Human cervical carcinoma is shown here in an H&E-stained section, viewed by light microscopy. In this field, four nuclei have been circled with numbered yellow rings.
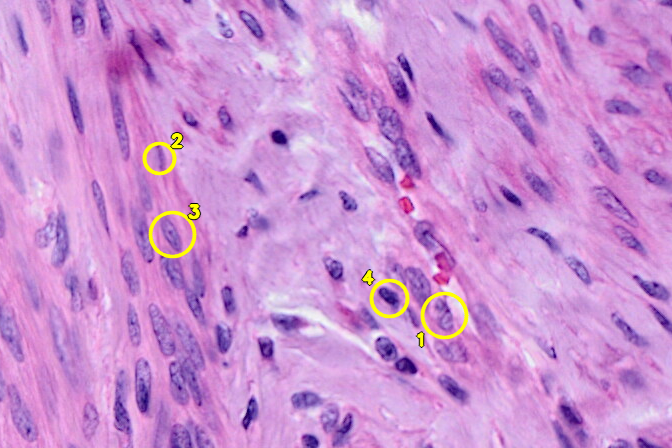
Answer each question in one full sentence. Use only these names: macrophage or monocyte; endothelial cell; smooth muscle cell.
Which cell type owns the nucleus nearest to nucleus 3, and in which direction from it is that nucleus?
A smooth muscle cell lies closest, to the left of nucleus 3.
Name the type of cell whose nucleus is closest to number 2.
The cell nearest to number 2 is a smooth muscle cell.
